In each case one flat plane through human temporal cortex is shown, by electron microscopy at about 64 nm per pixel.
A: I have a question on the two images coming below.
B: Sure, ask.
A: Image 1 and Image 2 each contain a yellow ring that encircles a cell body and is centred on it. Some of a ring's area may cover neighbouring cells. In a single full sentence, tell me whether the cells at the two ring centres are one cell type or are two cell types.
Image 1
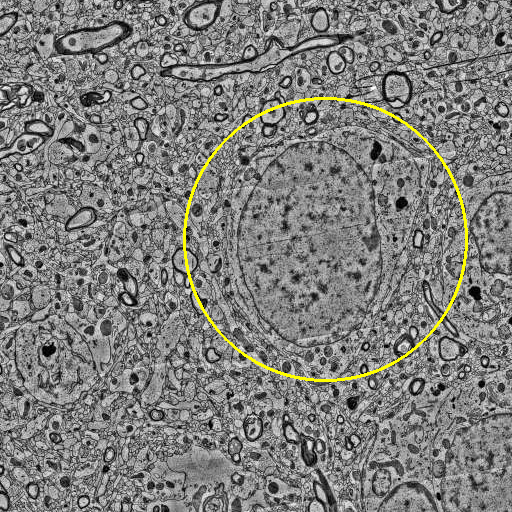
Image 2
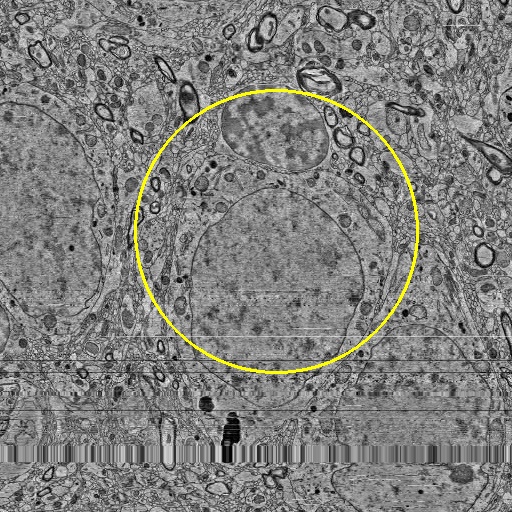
As for the ring-centre cells, the one in Image 1 and the one in Image 2 are one cell type.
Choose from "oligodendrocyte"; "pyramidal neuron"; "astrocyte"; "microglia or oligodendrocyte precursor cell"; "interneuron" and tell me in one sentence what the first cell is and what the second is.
In both pictures the ring is centred on a pyramidal neuron.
